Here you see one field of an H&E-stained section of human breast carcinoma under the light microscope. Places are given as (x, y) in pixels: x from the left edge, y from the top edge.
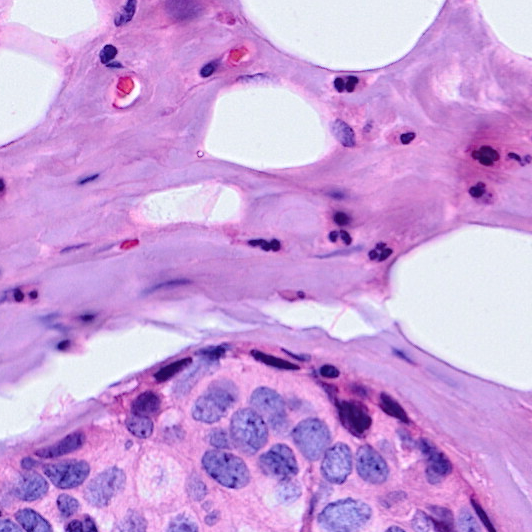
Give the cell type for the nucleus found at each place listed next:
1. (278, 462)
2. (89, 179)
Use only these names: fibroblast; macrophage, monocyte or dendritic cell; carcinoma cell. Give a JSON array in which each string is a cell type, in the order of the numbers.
["carcinoma cell", "fibroblast"]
